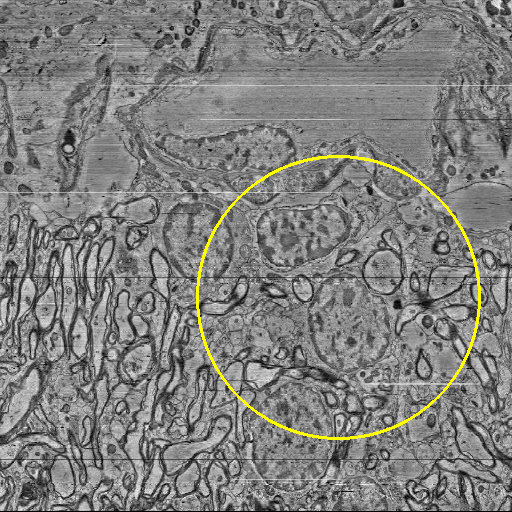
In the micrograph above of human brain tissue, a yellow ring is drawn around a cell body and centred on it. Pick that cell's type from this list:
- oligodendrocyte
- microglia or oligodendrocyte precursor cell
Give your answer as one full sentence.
Going by the list, an oligodendrocyte is the cell on which the yellow ring is centred.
